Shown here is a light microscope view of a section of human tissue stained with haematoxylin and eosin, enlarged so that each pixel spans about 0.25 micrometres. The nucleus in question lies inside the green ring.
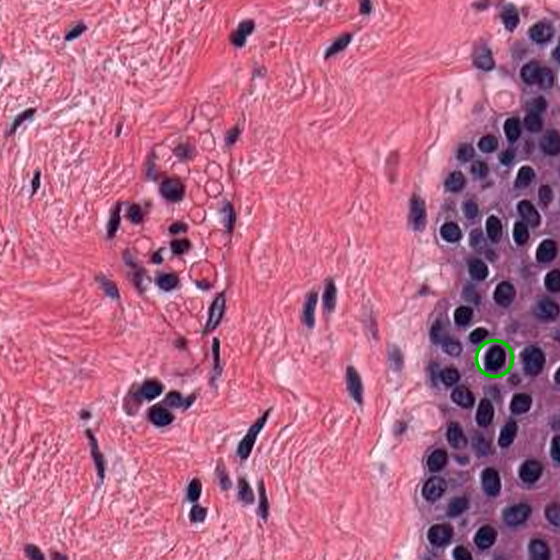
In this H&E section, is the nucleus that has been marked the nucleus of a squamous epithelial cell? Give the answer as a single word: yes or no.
yes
